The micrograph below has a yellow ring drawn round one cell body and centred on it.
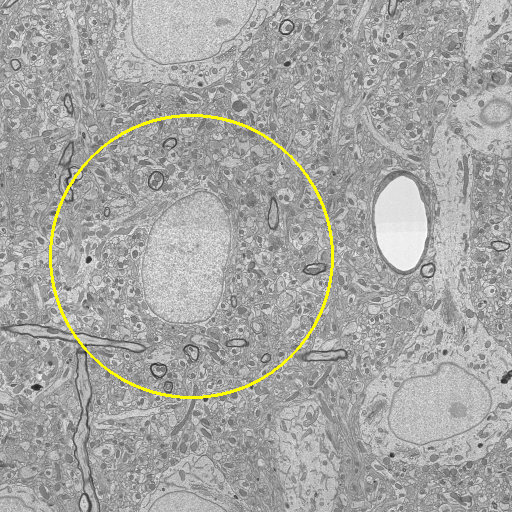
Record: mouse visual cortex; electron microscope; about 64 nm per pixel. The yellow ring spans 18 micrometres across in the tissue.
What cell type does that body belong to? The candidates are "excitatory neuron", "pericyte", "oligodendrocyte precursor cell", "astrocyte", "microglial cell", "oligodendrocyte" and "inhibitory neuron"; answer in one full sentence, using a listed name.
This is an astrocyte, the cell whose body lies at the centre of the ring.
